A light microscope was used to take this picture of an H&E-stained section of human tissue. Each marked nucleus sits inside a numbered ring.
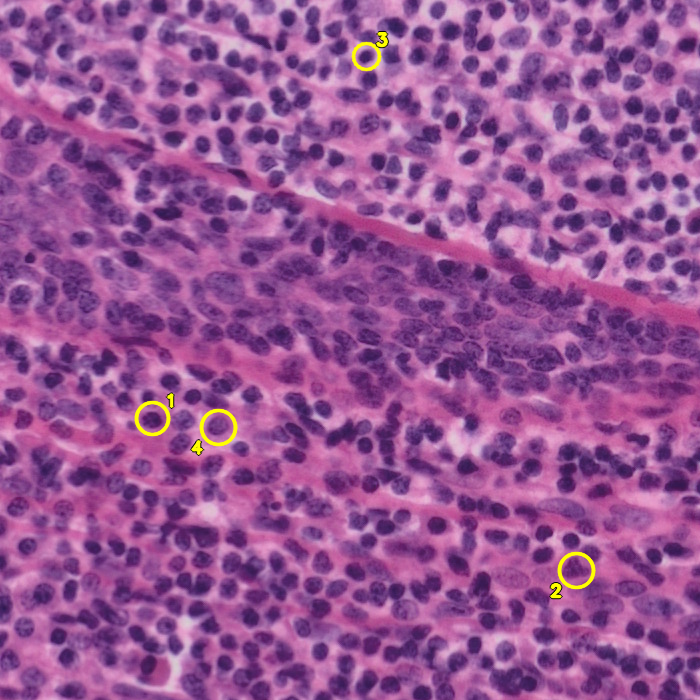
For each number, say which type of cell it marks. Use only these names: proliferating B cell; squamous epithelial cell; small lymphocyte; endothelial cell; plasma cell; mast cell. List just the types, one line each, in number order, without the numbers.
plasma cell
endothelial cell
small lymphocyte
plasma cell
